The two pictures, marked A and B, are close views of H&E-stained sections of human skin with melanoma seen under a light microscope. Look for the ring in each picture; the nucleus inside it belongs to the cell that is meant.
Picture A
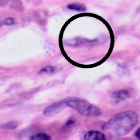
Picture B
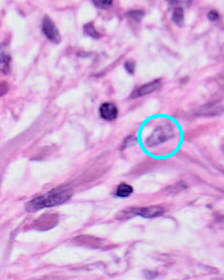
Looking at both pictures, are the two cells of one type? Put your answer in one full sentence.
Yes, the two pictures both show “fibroblasts or myofibroblasts”.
